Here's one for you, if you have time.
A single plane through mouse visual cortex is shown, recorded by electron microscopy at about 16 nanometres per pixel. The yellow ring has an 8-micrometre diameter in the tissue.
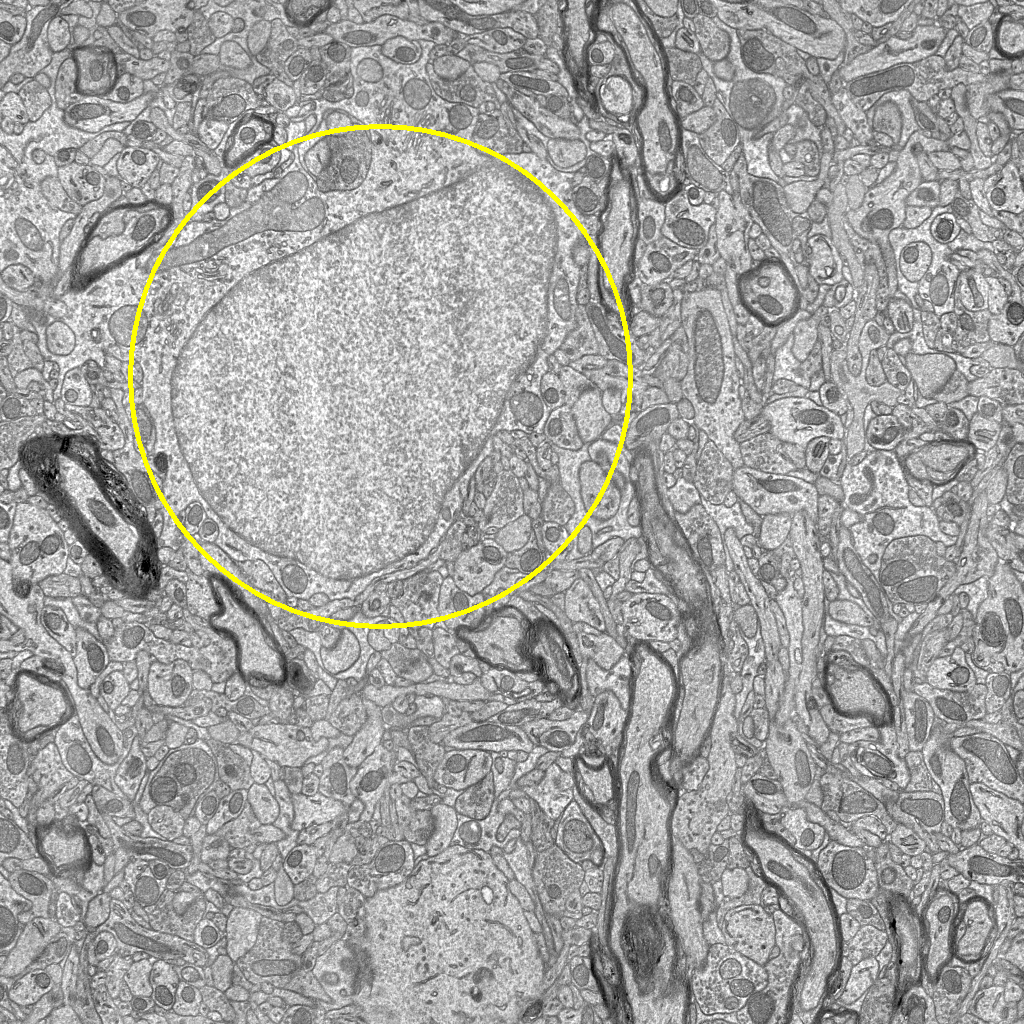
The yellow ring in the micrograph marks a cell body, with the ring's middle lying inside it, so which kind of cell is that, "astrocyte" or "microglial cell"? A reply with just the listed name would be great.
astrocyte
